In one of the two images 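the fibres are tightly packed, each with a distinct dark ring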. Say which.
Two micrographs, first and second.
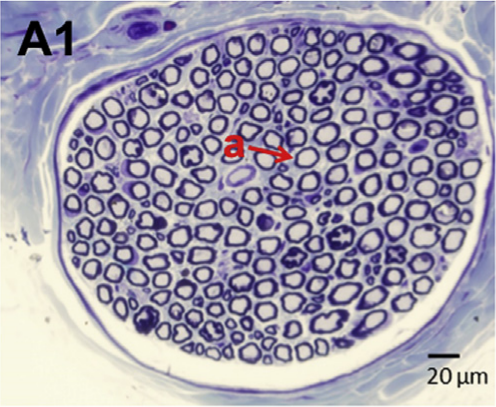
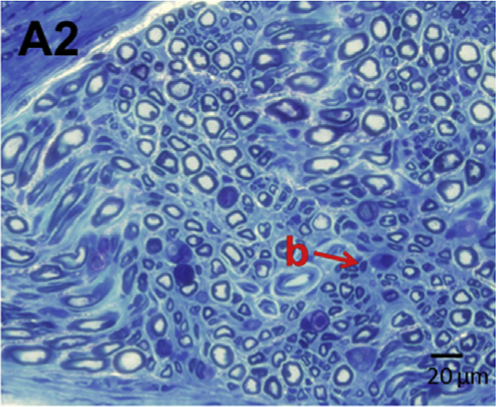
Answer: The first image.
